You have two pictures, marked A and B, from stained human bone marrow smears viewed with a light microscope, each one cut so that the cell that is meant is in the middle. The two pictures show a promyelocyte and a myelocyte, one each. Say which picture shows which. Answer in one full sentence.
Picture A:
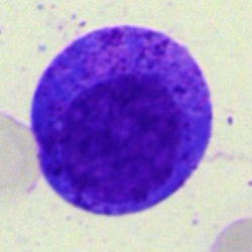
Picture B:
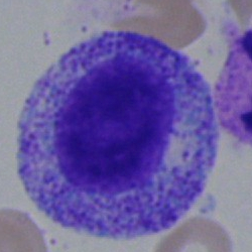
It is picture A that shows a promyelocyte, and picture B that shows a myelocyte.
